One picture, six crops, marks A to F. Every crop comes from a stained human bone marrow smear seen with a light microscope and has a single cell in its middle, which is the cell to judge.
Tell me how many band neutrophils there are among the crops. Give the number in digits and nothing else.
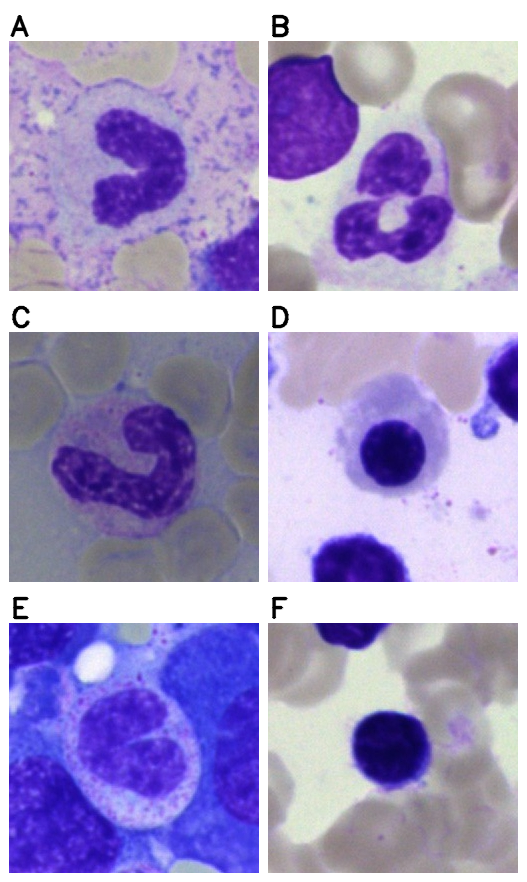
3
